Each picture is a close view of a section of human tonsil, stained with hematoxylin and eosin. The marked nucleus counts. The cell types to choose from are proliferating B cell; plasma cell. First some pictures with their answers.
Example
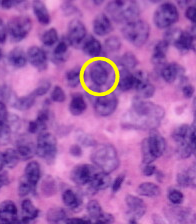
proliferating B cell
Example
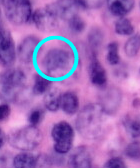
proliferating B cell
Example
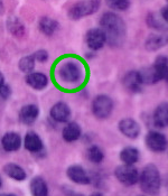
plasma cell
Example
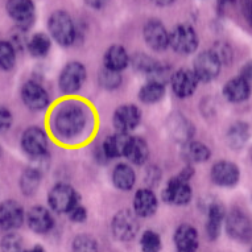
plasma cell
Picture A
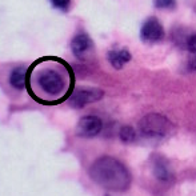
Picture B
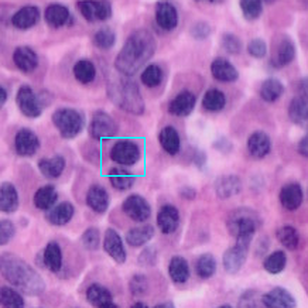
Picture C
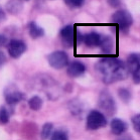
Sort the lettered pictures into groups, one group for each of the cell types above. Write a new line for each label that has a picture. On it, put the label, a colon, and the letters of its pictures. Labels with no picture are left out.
proliferating B cell: C
plasma cell: A, B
